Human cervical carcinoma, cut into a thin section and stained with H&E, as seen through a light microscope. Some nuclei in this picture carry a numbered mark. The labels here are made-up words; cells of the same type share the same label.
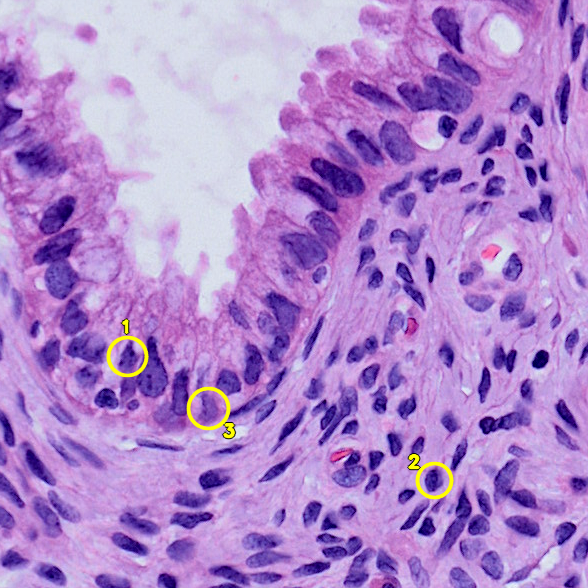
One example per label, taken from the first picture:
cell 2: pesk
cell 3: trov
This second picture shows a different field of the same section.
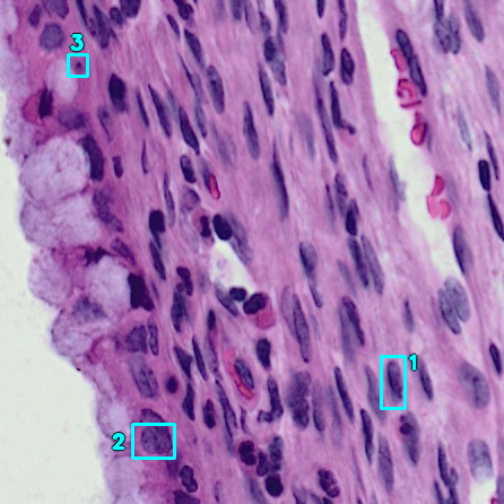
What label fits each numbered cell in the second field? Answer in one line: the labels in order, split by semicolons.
pesk; trov; trov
